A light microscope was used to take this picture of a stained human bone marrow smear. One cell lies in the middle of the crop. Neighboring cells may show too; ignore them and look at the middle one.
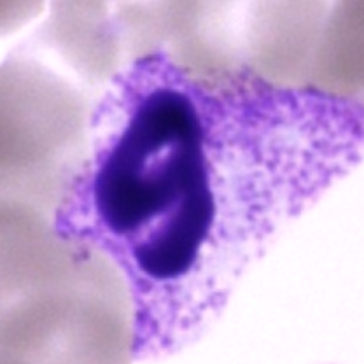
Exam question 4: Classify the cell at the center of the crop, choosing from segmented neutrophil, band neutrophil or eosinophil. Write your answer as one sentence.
Of the cells in this crop, the central one is a segmented neutrophil.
